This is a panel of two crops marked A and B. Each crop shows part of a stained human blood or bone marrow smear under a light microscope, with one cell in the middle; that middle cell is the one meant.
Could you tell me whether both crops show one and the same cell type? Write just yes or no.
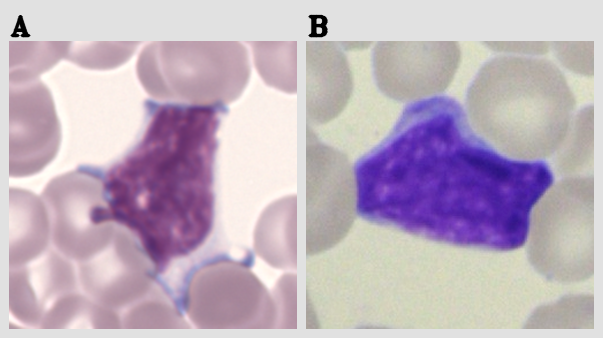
no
